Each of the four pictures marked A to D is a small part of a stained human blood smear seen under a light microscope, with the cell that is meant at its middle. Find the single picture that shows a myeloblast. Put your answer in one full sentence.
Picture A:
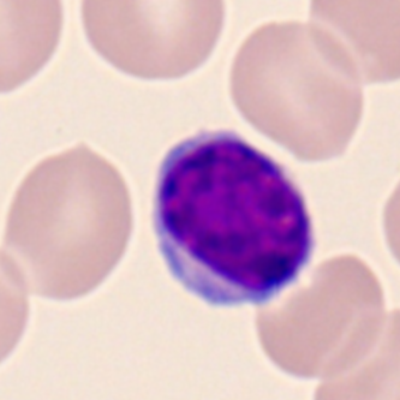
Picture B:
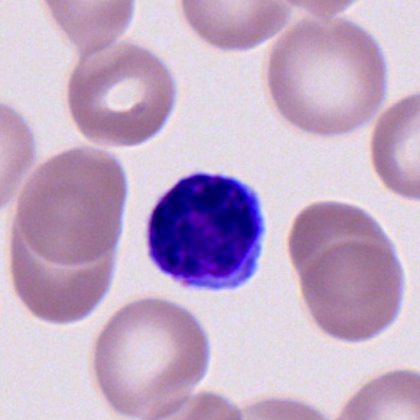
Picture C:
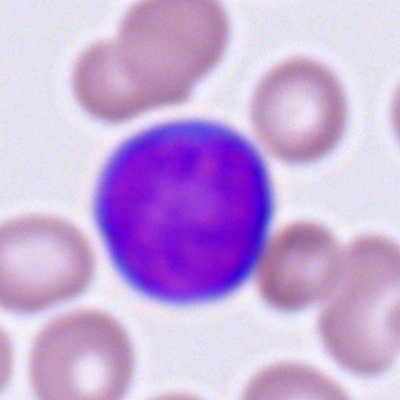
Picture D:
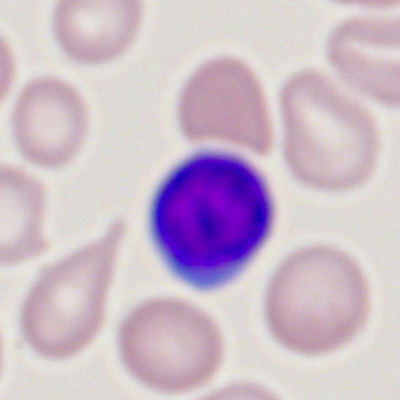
Picture C is the one that shows the myeloblast.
